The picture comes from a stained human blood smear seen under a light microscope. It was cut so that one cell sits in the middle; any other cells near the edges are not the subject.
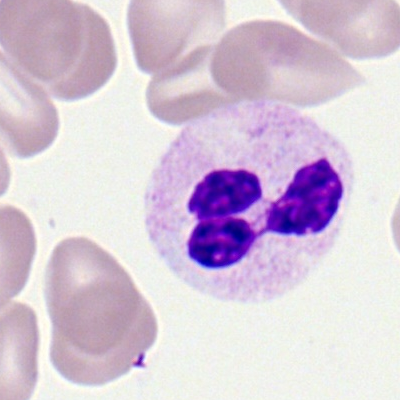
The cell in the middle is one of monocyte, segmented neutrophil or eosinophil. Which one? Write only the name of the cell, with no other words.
segmented neutrophil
